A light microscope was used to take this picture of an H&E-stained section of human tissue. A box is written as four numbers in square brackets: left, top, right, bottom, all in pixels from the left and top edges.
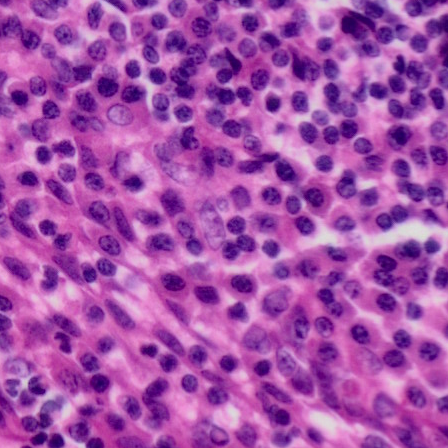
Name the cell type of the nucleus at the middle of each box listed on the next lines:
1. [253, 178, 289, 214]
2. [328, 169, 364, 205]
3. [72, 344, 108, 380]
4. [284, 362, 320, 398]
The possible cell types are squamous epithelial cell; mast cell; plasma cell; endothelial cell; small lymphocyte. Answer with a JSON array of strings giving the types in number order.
["plasma cell", "plasma cell", "plasma cell", "squamous epithelial cell"]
